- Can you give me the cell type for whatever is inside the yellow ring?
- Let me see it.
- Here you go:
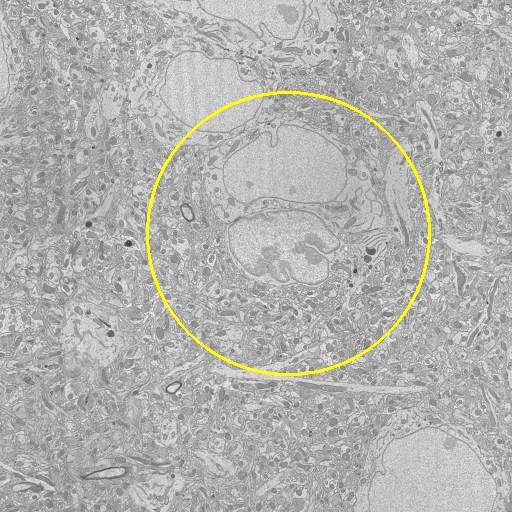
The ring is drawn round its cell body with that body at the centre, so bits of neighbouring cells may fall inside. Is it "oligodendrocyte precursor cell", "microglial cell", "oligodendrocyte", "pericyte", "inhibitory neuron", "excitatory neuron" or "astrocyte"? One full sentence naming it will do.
The cell body in the middle of the ring in this picture belongs to an oligodendrocyte precursor cell.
